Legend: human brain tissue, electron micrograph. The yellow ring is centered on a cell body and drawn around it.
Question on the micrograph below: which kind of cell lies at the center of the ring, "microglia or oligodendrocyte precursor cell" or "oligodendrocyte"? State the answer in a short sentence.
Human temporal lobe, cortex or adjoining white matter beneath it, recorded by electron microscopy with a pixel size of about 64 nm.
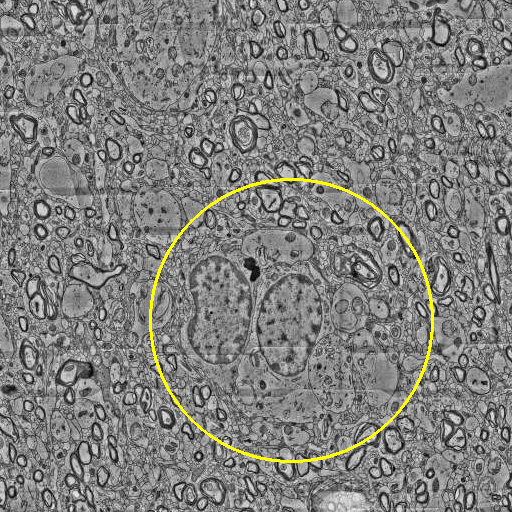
At the center of the ring lies a microglial cell or oligodendrocyte precursor cell.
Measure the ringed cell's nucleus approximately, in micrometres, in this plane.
About 6 by 4 micrometers for the nucleus, in this plane.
